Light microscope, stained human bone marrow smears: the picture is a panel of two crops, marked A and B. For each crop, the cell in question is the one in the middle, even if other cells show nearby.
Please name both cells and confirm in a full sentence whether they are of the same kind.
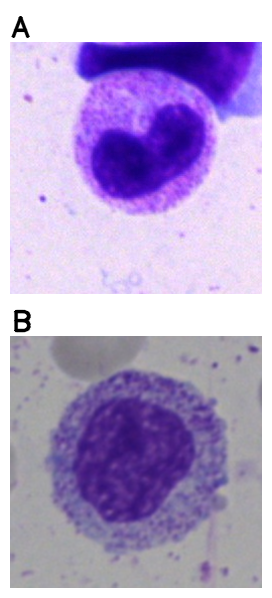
No, the cell in crop A is a metamyelocyte and the one in crop B is a myelocyte.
